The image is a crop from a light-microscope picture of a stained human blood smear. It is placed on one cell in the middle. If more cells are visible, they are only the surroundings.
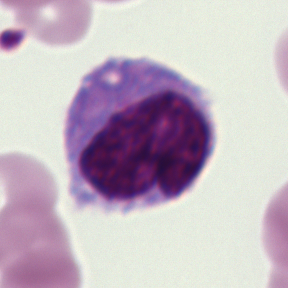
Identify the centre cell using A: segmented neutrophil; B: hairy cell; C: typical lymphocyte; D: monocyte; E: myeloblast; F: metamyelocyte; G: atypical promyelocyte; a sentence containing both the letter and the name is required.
The expected answer is option D, the central cell being a monocyte.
